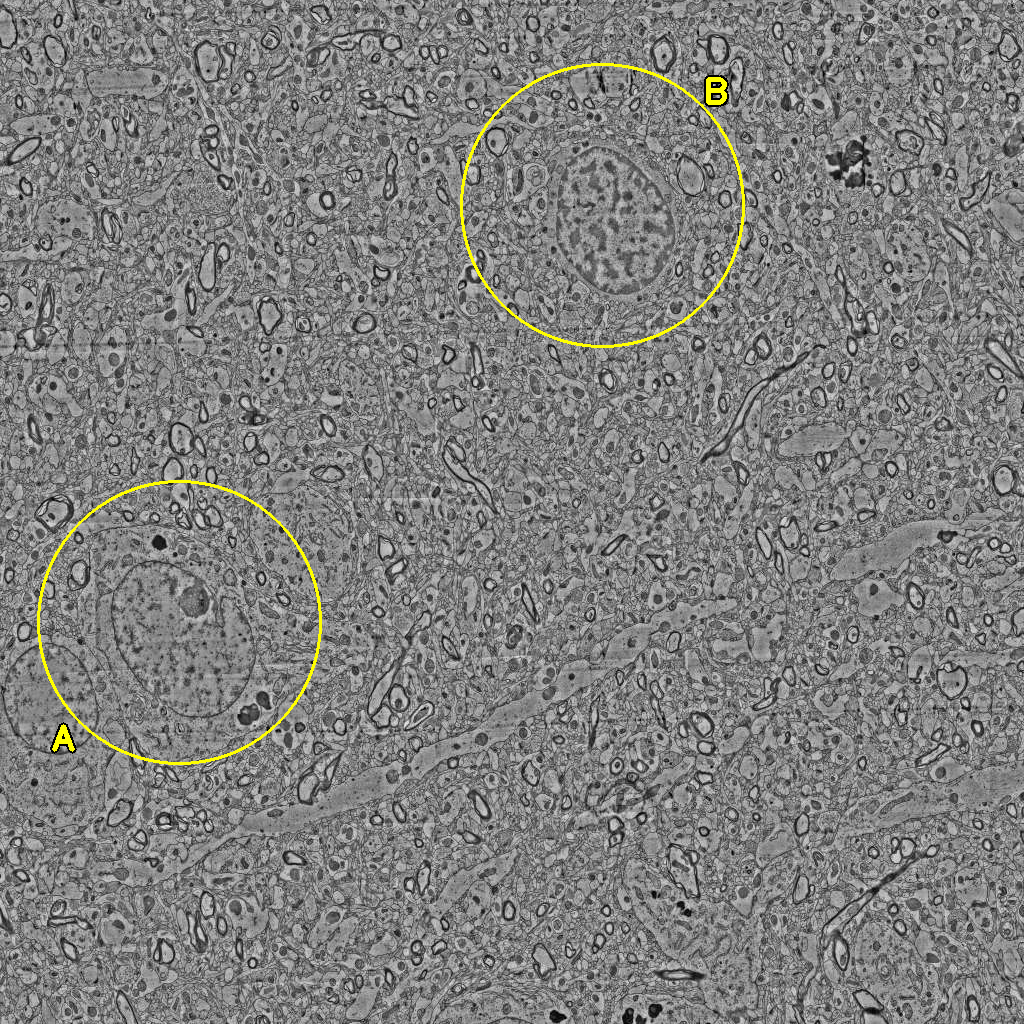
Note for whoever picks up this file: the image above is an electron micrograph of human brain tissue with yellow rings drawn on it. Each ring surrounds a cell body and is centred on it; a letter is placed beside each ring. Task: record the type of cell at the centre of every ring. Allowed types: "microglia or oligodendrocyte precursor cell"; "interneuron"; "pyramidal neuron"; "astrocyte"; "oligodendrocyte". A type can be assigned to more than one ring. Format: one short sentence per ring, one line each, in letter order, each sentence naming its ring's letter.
The ring marked A is centred on a pyramidal neuron.
The ring marked B is centred on an oligodendrocyte.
